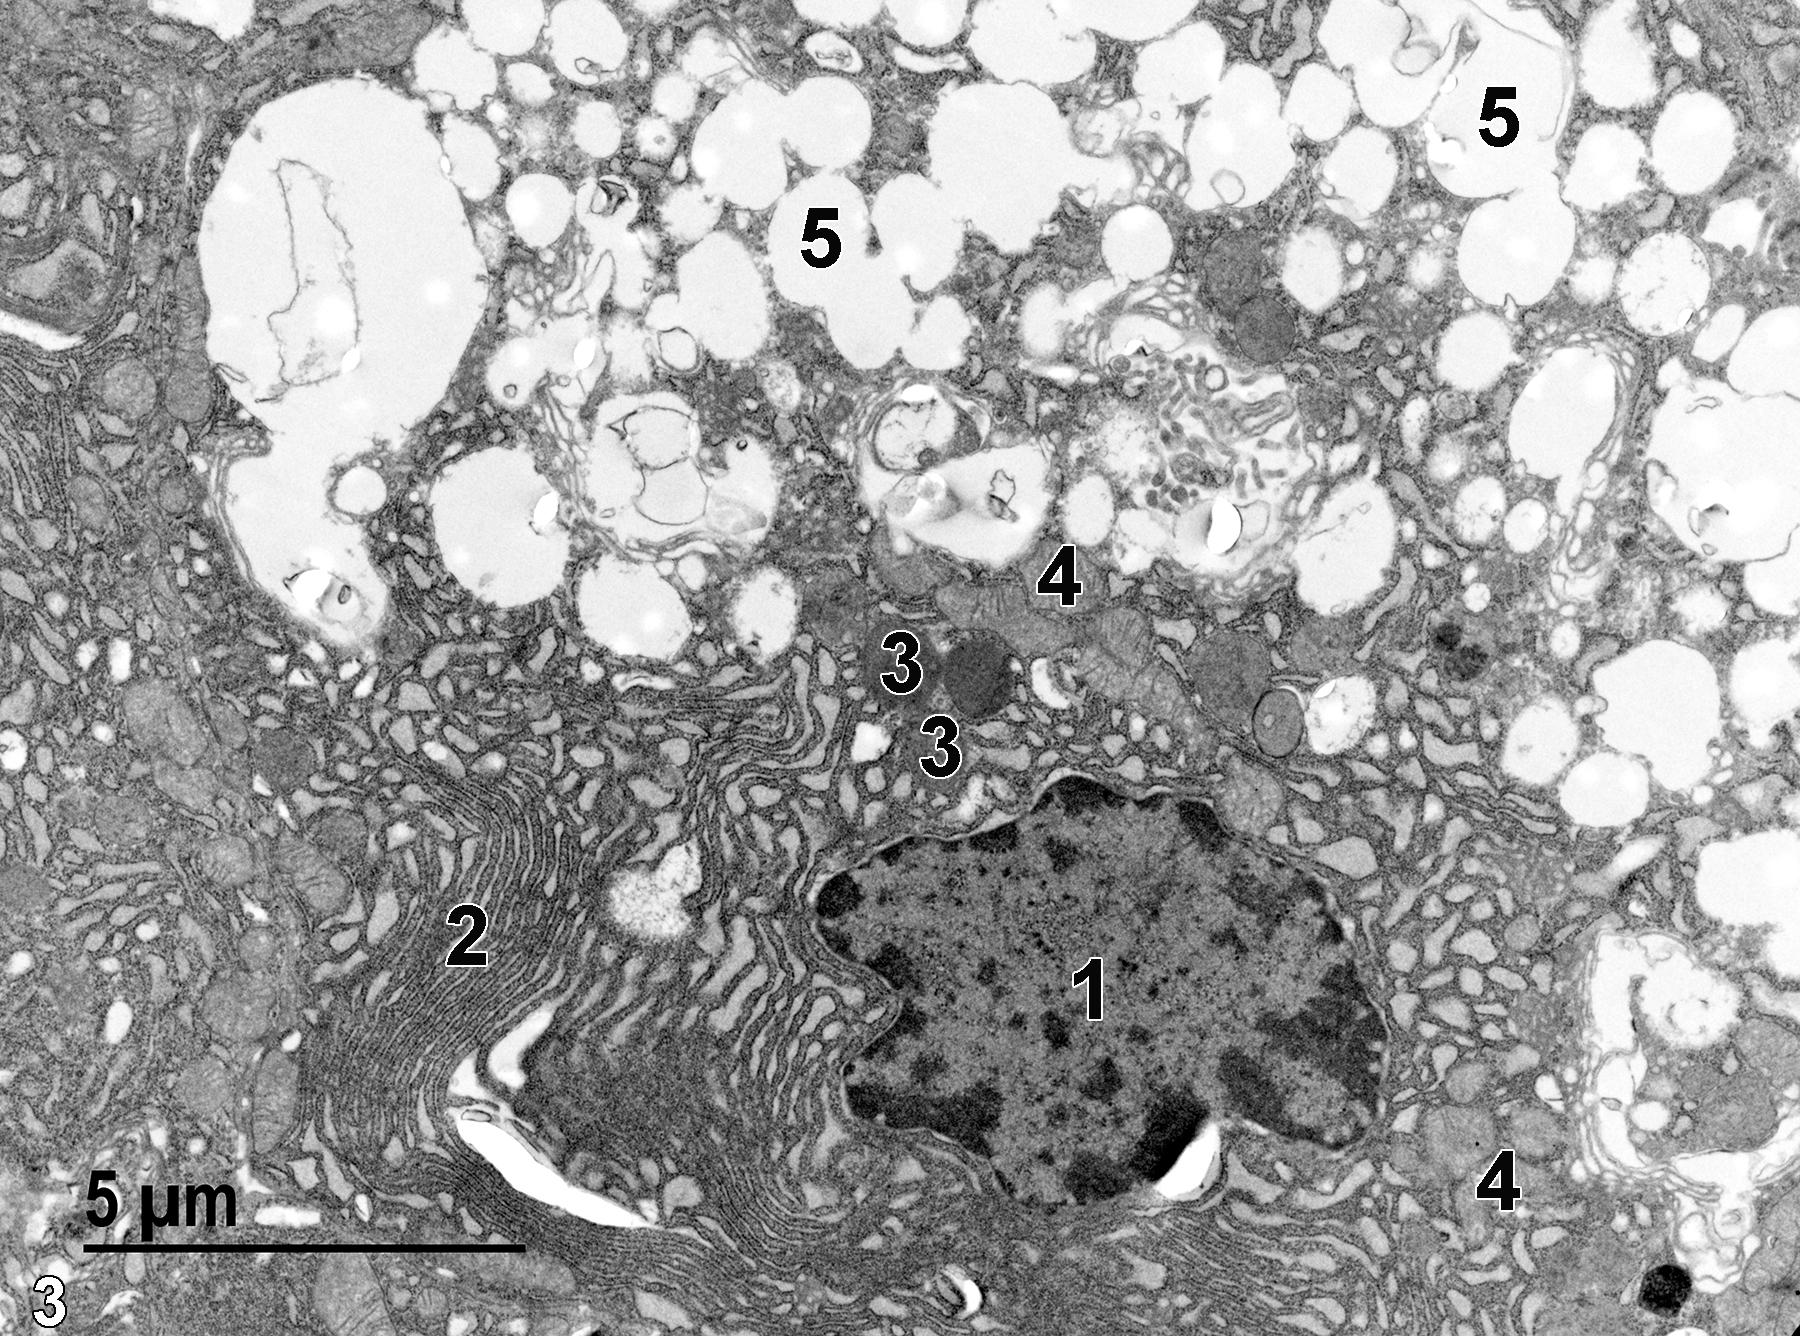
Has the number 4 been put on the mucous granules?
No. The mitochondria.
